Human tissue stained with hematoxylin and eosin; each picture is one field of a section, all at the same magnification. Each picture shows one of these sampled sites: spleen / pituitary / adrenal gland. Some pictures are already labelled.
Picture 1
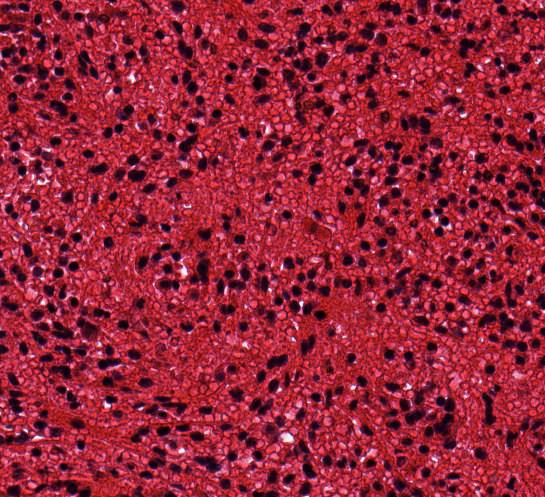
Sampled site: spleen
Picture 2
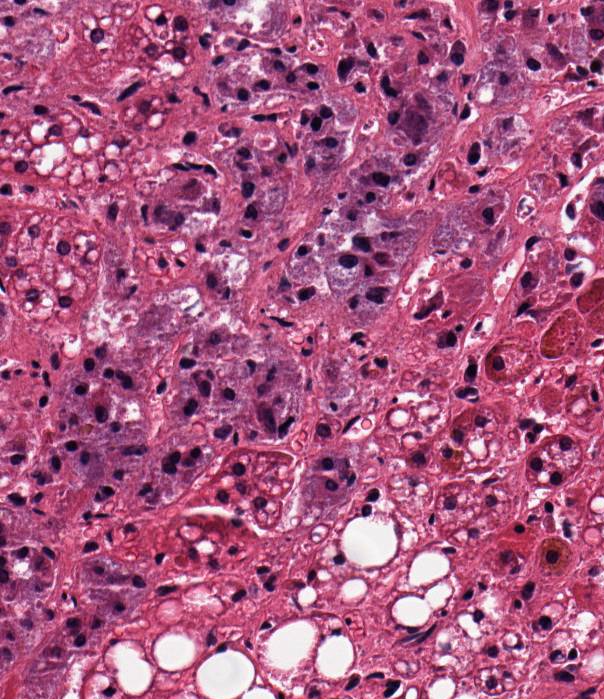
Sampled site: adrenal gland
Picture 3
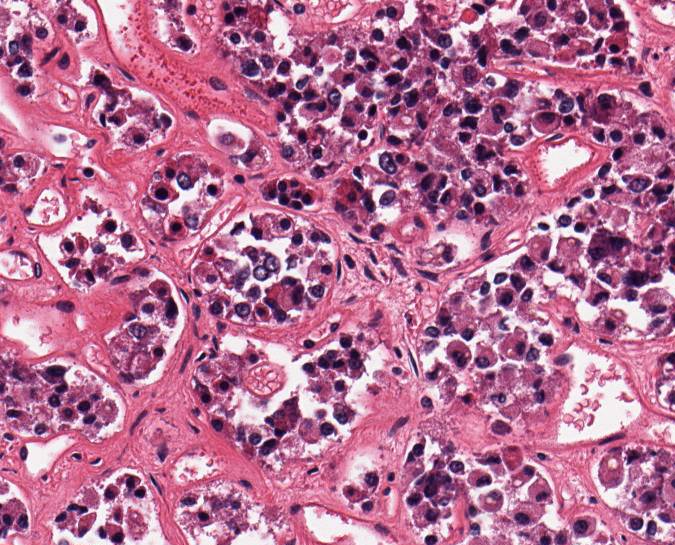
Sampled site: pituitary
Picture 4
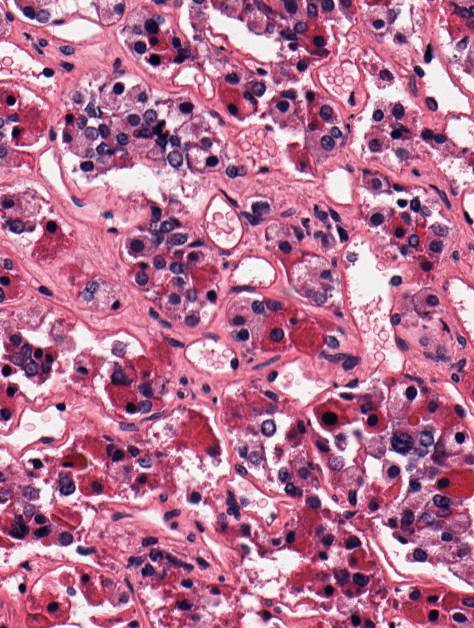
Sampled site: pituitary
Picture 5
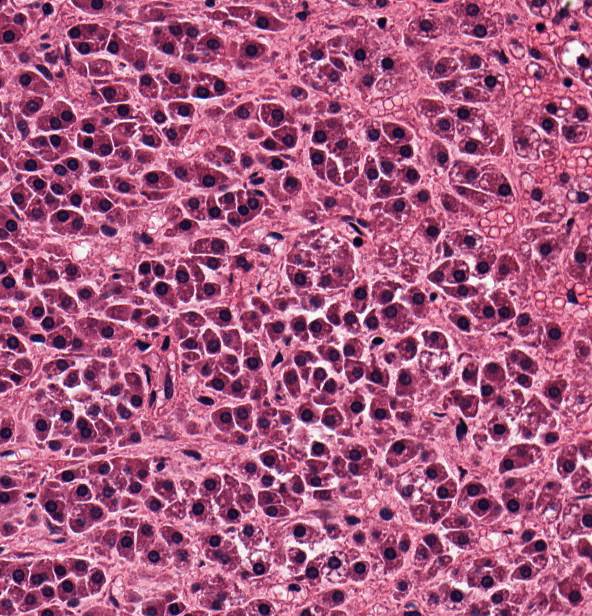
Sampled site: adrenal gland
